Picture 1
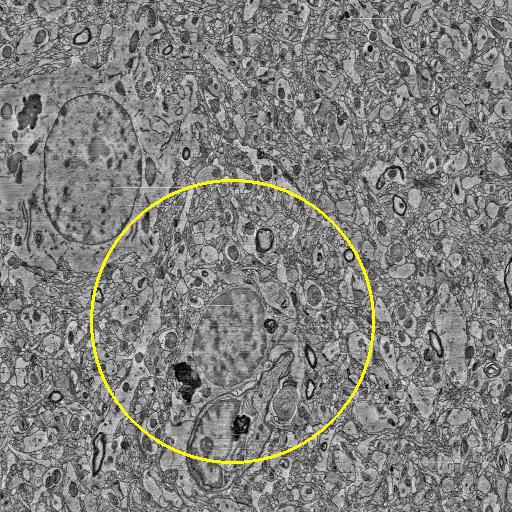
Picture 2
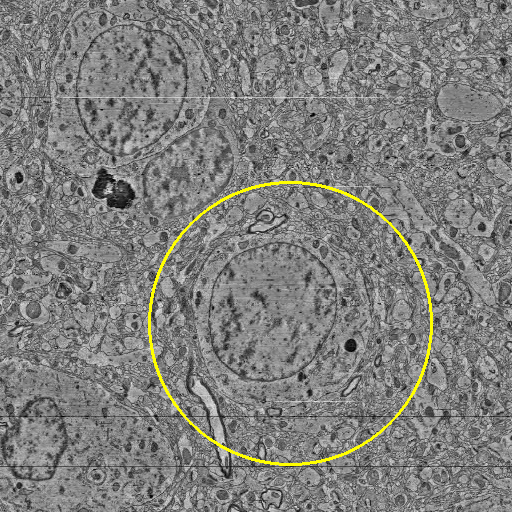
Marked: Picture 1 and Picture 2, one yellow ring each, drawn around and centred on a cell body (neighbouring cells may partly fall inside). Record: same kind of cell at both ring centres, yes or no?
no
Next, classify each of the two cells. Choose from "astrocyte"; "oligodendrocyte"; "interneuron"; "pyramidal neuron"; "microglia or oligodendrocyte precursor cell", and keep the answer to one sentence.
In the first picture it is an oligodendrocyte; in the second it is a pyramidal neuron.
